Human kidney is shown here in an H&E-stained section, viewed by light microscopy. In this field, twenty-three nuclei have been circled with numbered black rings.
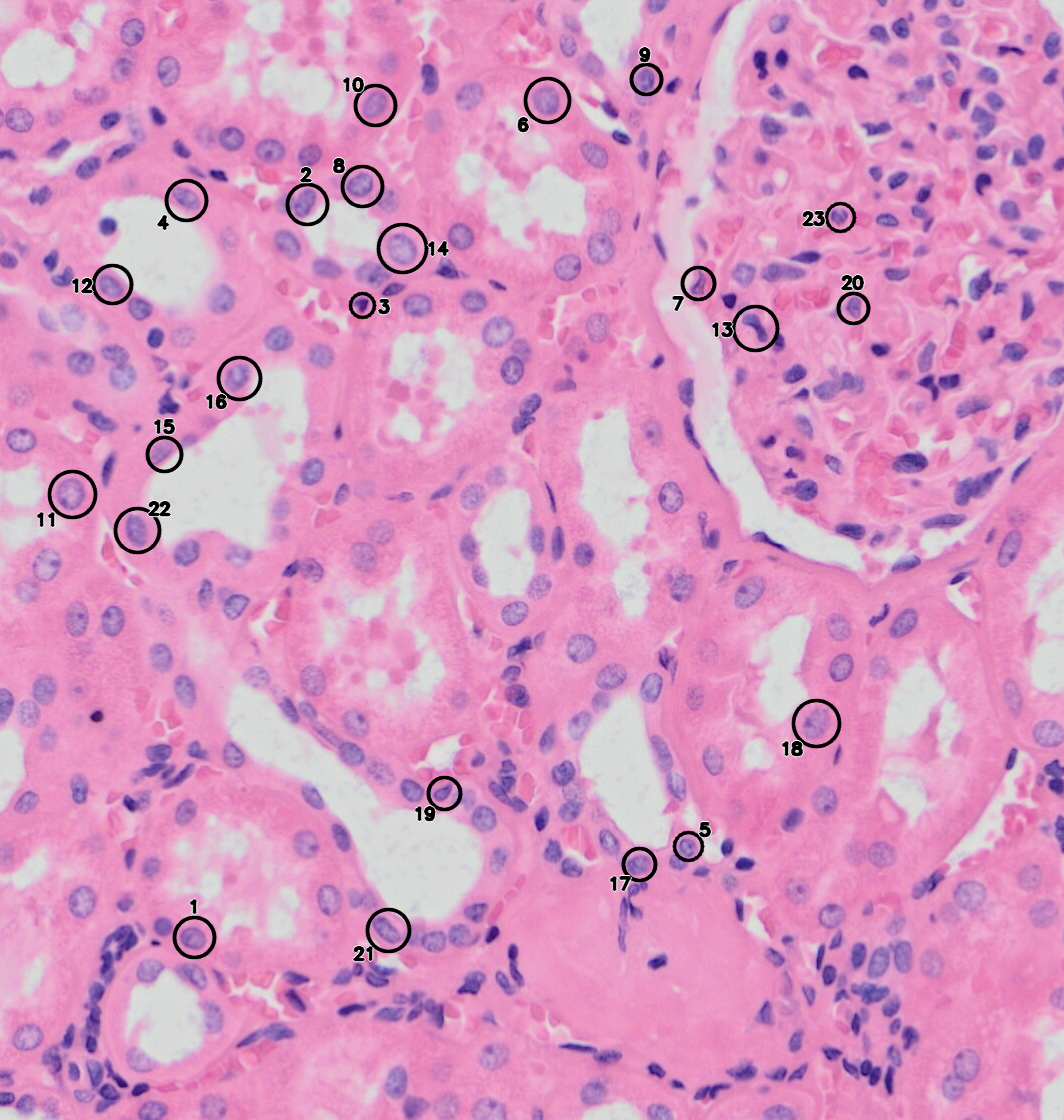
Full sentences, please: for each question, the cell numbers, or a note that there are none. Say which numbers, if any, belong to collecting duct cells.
Here, the cells that carry numbers 2, 5, 9, 14, 17, 19 and 21 are collecting duct cells.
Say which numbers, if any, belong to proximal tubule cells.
In short, the numbered cells 1, 6, 10, 11 and 18 are proximal tubule cells.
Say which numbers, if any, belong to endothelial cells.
The cells that have numbers 3, 7, 13, 20 and 23 are endothelial cells.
